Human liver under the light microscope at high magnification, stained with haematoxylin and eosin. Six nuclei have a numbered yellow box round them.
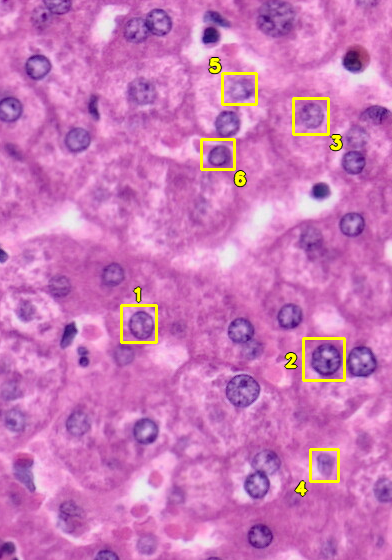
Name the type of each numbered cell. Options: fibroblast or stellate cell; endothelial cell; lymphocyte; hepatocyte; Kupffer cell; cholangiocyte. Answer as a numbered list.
1. hepatocyte
2. hepatocyte
3. hepatocyte
4. endothelial cell
5. hepatocyte
6. Kupffer cell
